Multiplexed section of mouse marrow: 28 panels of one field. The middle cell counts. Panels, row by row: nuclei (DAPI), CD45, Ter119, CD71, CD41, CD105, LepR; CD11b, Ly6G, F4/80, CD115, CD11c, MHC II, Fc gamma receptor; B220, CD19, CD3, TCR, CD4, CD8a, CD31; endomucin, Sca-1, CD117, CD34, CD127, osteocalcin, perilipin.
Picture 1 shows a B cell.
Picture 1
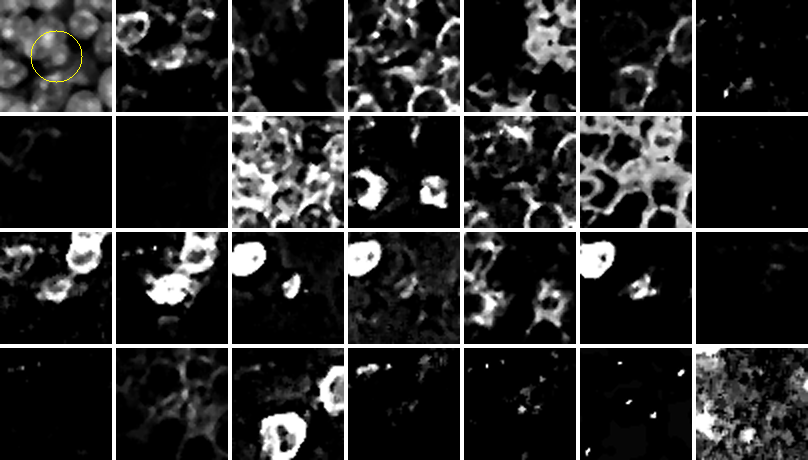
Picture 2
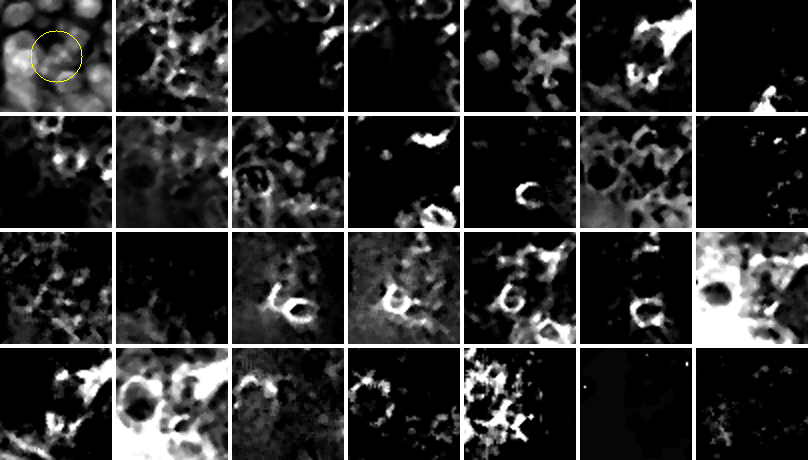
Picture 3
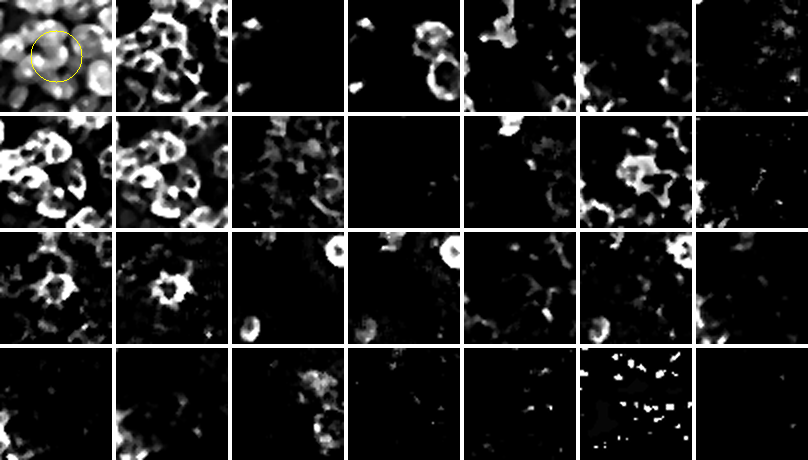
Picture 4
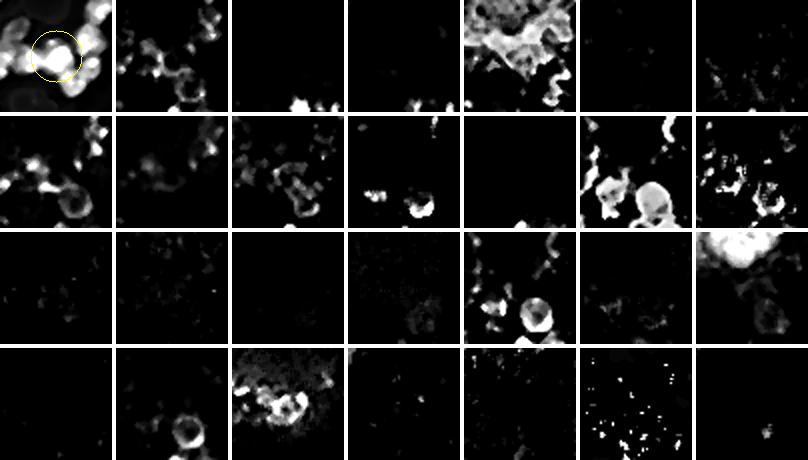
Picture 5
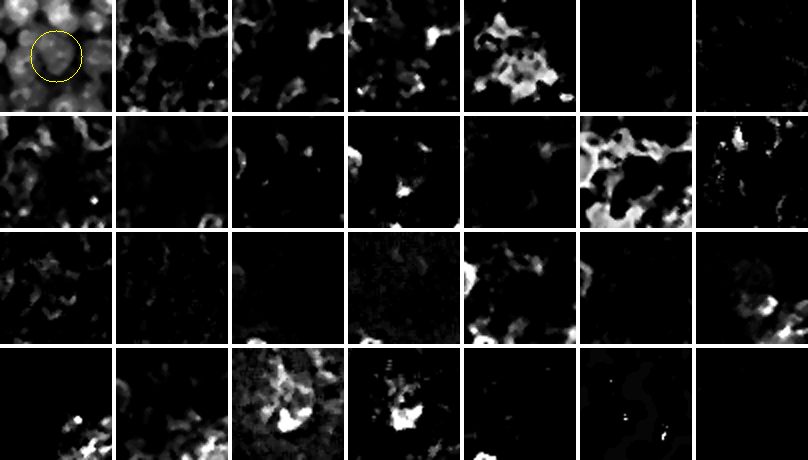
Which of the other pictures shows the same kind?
Picture 3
